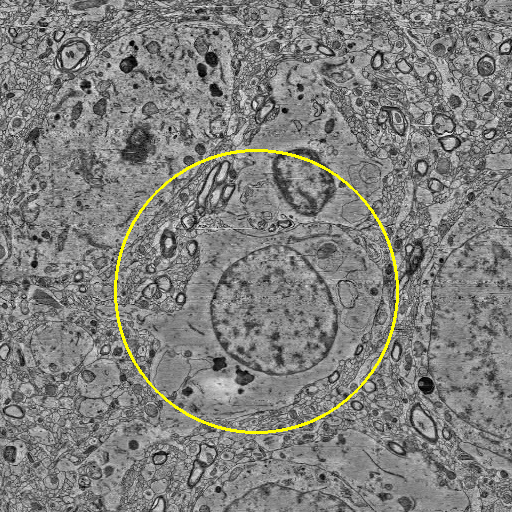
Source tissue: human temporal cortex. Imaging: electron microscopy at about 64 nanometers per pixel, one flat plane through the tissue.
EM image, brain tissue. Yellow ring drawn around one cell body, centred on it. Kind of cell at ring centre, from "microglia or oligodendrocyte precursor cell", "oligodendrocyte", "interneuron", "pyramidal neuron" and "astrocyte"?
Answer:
astrocyte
